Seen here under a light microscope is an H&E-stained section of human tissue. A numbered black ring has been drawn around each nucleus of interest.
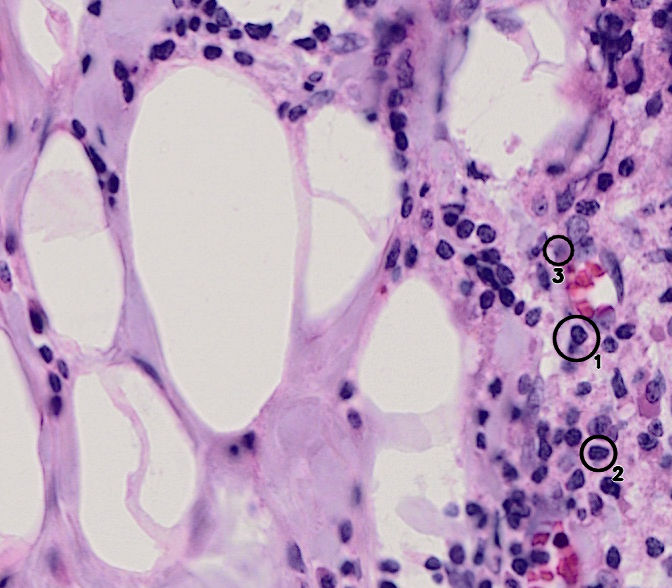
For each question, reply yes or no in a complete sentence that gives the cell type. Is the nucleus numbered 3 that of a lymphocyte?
No, instead of a lymphocyte, the cell with number 3 is an endothelial cell.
